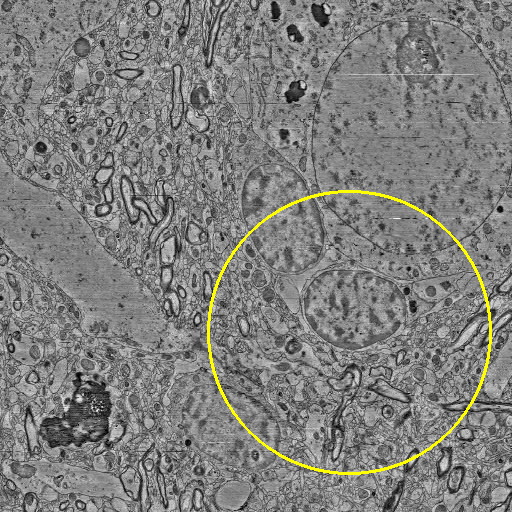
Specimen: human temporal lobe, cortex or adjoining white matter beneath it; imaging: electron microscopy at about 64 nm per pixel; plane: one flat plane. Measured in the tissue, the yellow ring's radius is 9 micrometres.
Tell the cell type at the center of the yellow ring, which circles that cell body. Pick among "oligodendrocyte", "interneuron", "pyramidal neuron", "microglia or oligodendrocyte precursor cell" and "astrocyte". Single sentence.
The ring is centered on the body of a microglial cell or oligodendrocyte precursor cell.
